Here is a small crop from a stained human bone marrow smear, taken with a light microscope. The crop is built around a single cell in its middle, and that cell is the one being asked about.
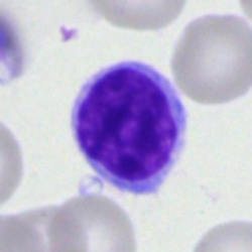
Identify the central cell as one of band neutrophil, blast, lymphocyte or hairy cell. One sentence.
In the middle of this smear crop, the cell is a lymphocyte.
